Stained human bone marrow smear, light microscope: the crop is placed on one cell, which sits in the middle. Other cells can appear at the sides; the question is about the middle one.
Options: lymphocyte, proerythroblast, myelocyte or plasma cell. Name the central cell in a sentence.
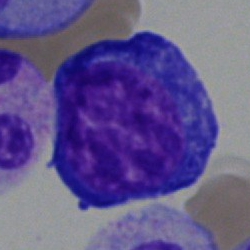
The central cell shown in this smear crop is a proerythroblast.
